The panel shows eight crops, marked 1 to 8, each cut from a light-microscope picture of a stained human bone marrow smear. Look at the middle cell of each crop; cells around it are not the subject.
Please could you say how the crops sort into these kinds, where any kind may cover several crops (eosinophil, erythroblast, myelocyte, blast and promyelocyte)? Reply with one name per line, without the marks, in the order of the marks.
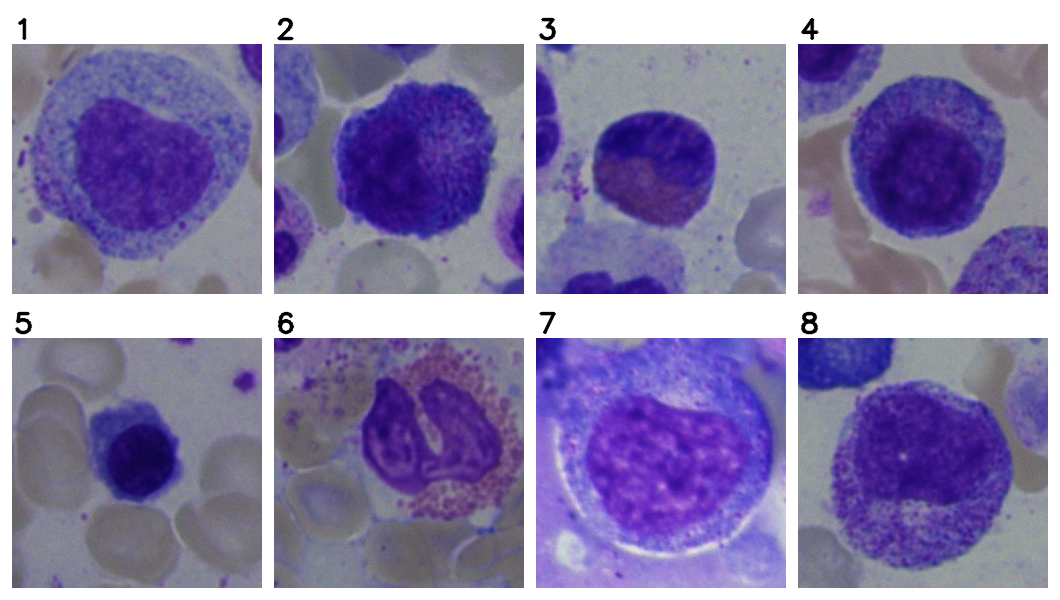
promyelocyte
promyelocyte
eosinophil
myelocyte
erythroblast
eosinophil
promyelocyte
myelocyte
